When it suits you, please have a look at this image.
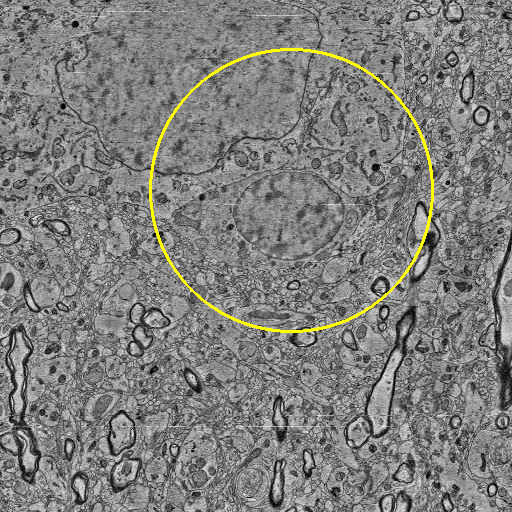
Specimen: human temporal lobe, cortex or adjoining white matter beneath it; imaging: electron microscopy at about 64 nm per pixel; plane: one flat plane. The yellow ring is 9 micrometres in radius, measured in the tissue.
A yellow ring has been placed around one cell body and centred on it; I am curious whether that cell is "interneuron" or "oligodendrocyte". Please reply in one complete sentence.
The ringed cell, an oligodendrocyte, has its body at the centre of the yellow ring.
